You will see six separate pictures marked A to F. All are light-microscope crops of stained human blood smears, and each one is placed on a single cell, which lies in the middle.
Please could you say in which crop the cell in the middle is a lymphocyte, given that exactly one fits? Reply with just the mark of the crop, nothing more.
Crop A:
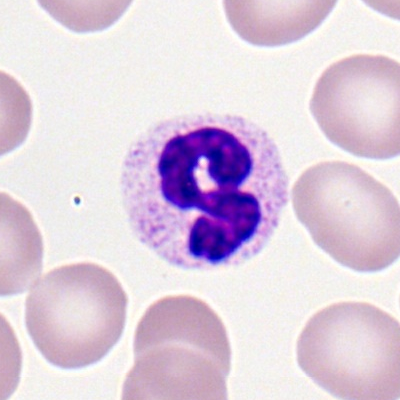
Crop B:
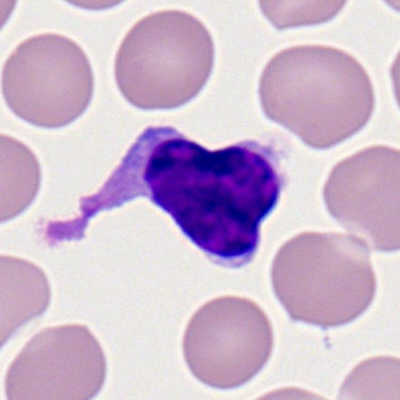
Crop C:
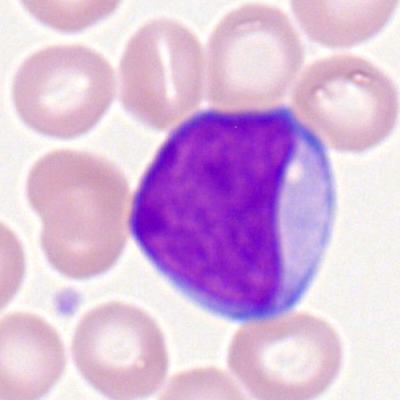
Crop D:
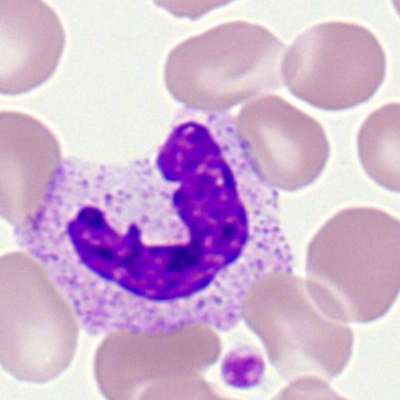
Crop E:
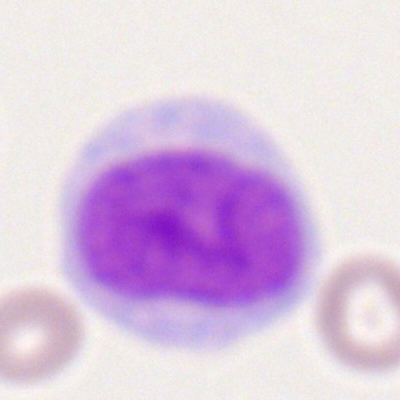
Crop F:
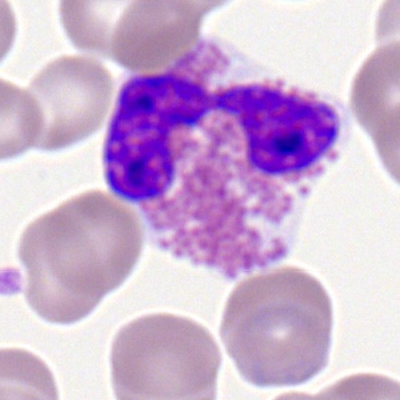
B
